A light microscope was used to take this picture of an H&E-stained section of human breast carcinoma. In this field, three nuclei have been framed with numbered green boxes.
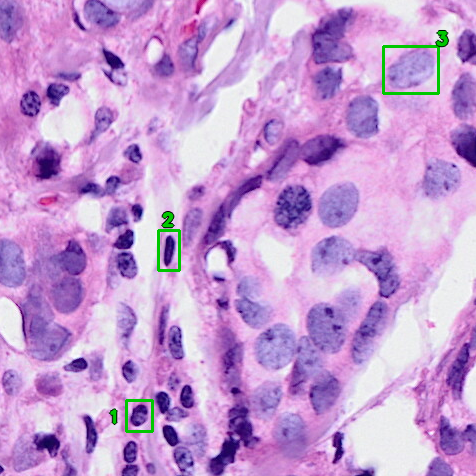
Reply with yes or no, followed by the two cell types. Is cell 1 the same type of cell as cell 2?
Yes, the cell marked 1 and the cell marked 2 are both lymphocytes.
